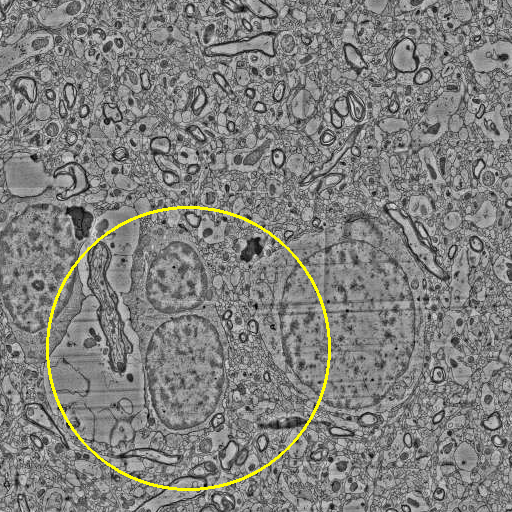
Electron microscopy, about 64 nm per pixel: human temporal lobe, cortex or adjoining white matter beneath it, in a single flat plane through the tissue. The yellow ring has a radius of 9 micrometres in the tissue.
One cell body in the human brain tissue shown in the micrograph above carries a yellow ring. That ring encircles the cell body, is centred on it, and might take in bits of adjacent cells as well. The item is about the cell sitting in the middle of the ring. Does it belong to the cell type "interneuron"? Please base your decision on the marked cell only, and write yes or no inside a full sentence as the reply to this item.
No, the cell in the centre of the yellow ring belongs to a different kind.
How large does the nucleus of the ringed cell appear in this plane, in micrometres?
About 7 micrometres by about 5 micrometres in this plane.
